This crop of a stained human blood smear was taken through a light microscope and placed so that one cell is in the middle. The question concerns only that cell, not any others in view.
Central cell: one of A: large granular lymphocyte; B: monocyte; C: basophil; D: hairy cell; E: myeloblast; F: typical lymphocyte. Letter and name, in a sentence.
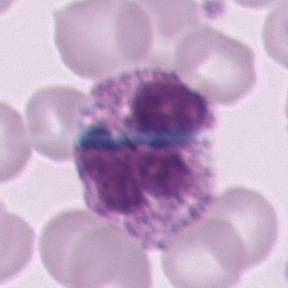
Of the options given, C is correct, the central cell being a basophil.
